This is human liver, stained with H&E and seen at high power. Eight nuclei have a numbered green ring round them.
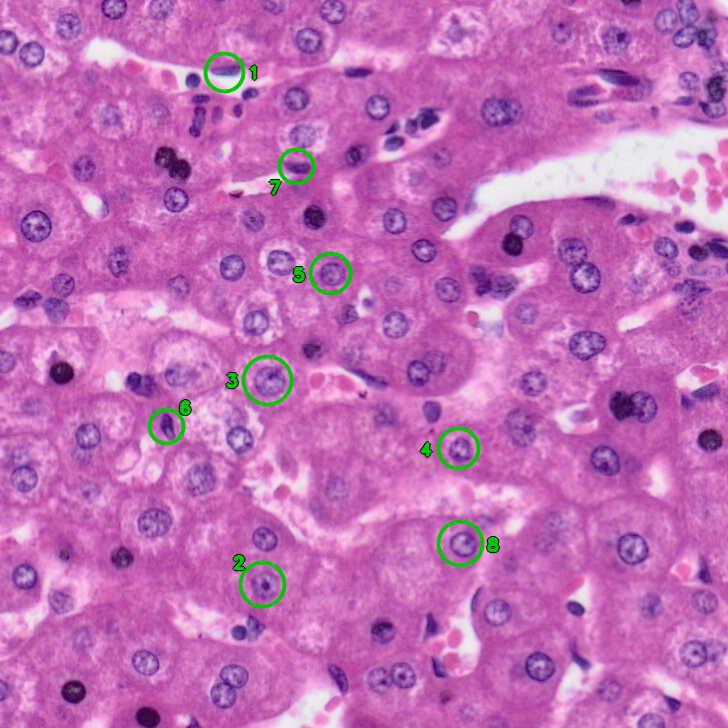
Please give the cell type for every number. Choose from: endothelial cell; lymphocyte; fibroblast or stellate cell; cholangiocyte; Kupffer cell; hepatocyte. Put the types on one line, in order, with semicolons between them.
endothelial cell; hepatocyte; hepatocyte; hepatocyte; hepatocyte; fibroblast or stellate cell; fibroblast or stellate cell; hepatocyte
